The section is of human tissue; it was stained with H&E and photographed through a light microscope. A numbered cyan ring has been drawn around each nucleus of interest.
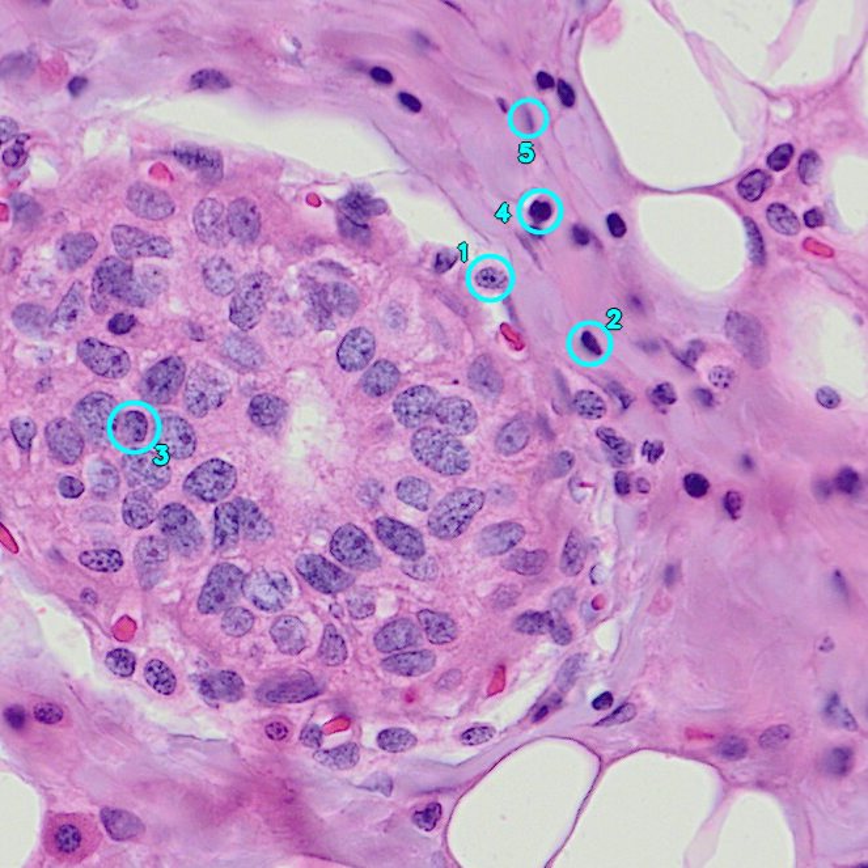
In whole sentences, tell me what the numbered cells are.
Cell 1 is a mast cell, cell 2 is a lymphocyte, cell 3 is a carcinoma cell, cell 4 is a lymphocyte and cell 5 is a fibroblast.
